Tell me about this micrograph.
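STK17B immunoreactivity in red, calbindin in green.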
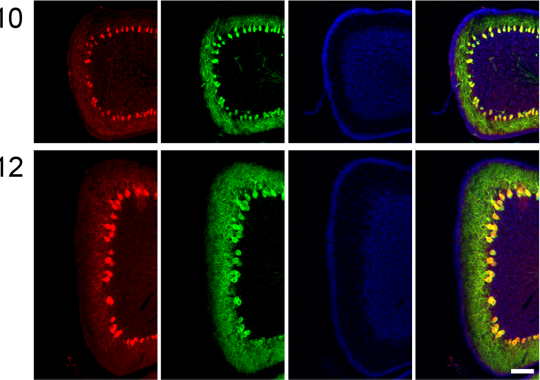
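Low-magnification section of a cerebellar folium with Purkinje cells forming a single row of bright cell bodies along its curve. Red and green label coincide in these cell bodies, appearing yellow in the merged image, with a band of green processes extending outward from the row toward the surface.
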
